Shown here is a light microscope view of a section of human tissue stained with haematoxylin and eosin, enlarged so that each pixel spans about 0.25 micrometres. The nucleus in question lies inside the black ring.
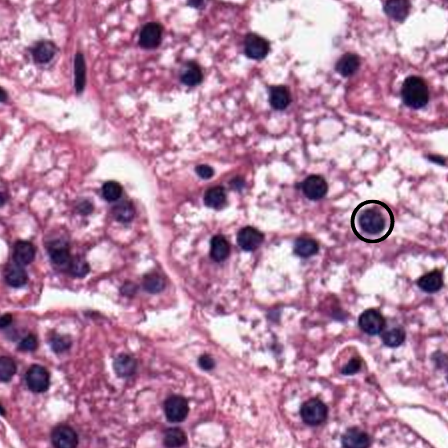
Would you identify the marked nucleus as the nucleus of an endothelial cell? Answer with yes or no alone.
no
